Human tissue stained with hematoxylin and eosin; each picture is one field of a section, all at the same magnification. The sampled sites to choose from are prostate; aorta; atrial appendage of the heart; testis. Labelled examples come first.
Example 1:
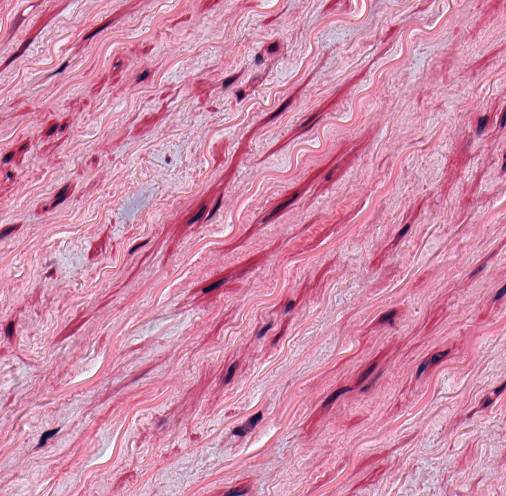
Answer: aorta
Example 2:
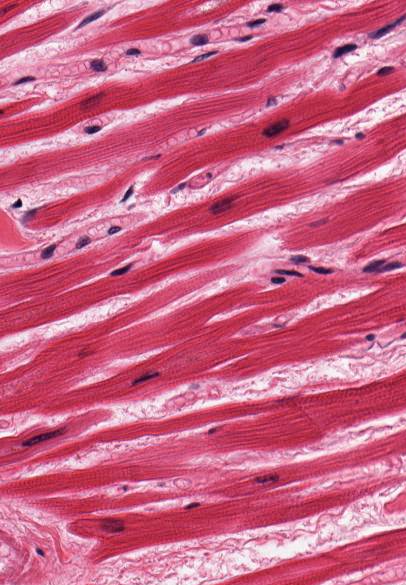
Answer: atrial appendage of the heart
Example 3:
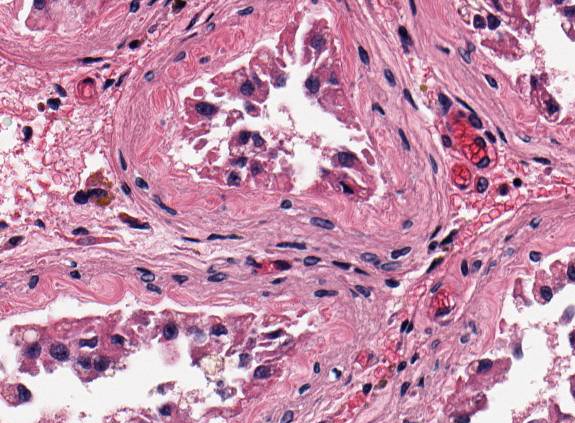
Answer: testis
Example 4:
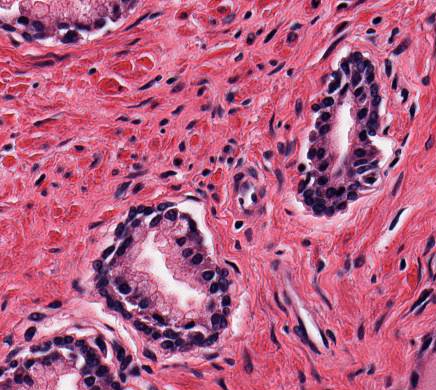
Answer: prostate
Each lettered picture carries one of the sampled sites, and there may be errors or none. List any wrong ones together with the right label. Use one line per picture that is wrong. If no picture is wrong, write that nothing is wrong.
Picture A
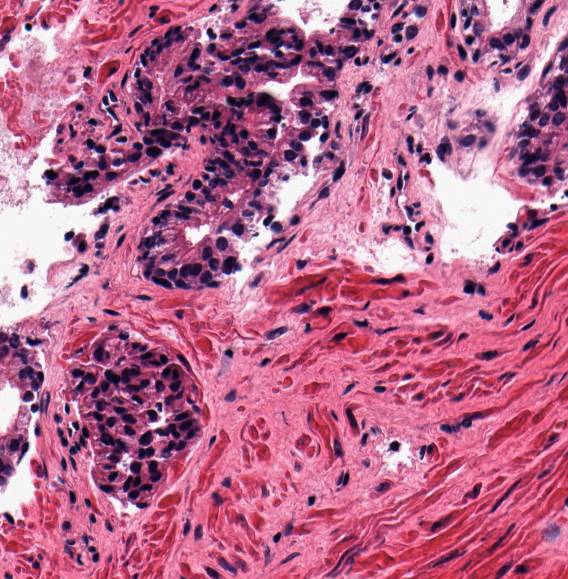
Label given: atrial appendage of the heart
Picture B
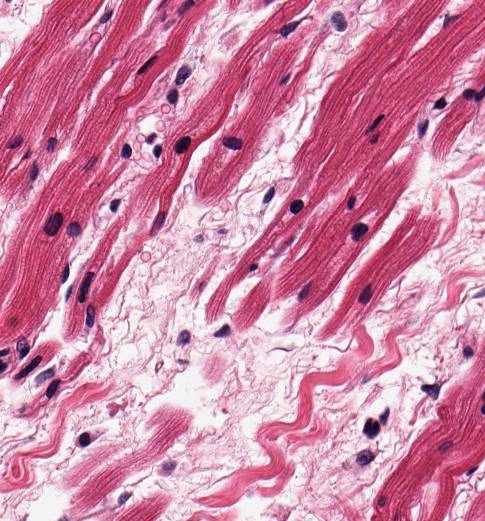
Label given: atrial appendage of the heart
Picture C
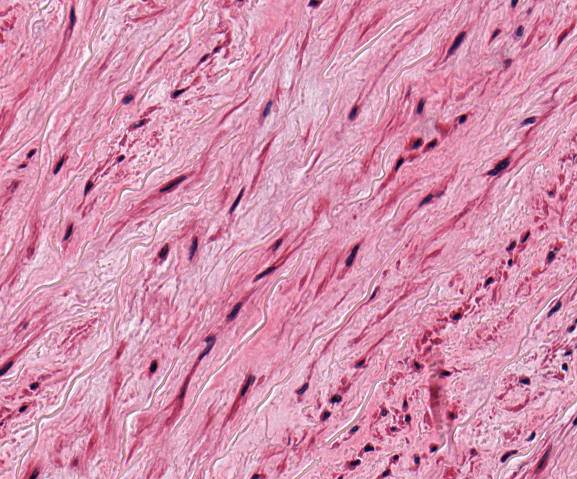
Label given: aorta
A is labelled atrial appendage of the heart; correct label: prostate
